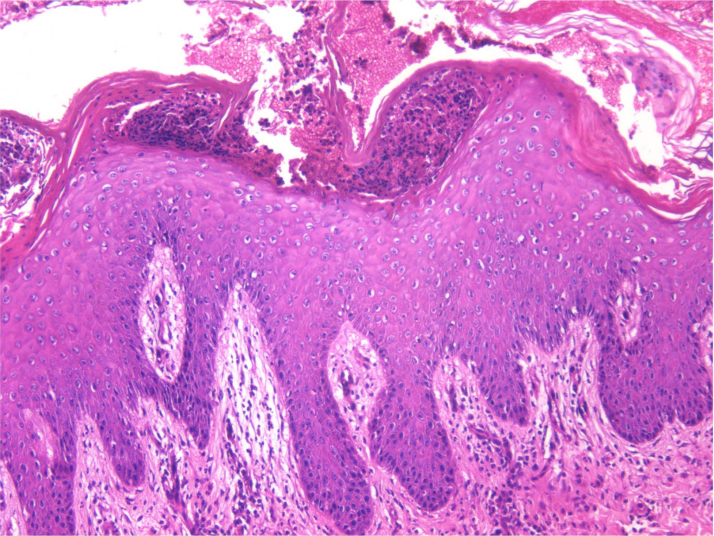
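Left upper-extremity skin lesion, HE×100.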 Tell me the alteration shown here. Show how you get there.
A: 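Clusters of small dark nuclei lie in the uppermost layers of the epidermis. The collections are focal, at the surface beneath a crust.
Answer: Localized neutrophilic infiltrates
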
